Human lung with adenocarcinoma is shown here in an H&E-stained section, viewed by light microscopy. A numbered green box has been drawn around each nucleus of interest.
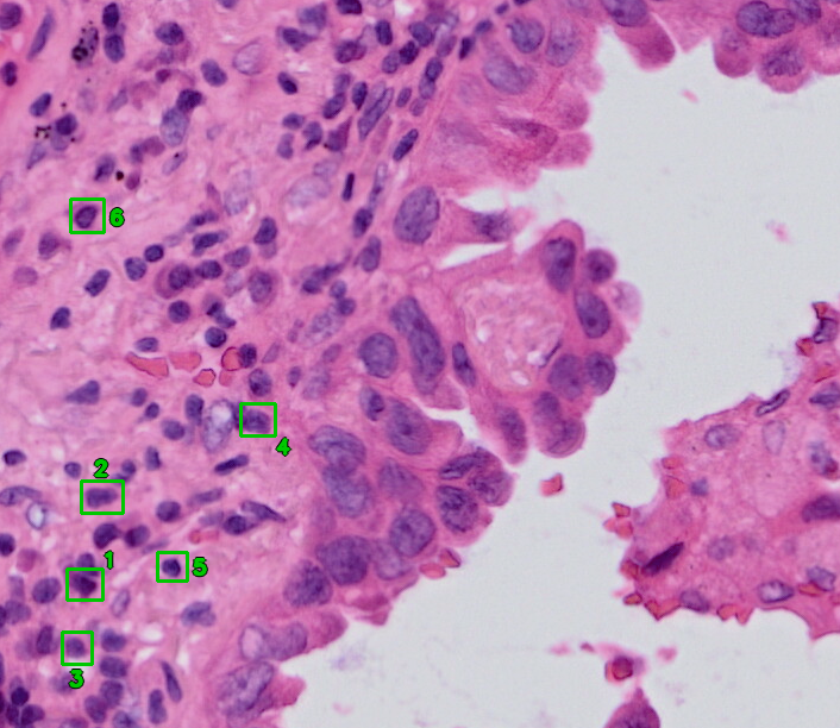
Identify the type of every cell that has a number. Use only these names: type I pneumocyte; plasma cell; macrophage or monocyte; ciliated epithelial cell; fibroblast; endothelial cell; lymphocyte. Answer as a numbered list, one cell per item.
1. plasma cell
2. lymphocyte
3. lymphocyte
4. lymphocyte
5. lymphocyte
6. plasma cell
